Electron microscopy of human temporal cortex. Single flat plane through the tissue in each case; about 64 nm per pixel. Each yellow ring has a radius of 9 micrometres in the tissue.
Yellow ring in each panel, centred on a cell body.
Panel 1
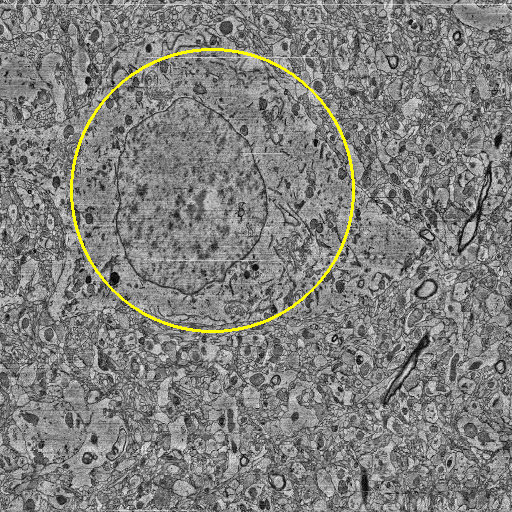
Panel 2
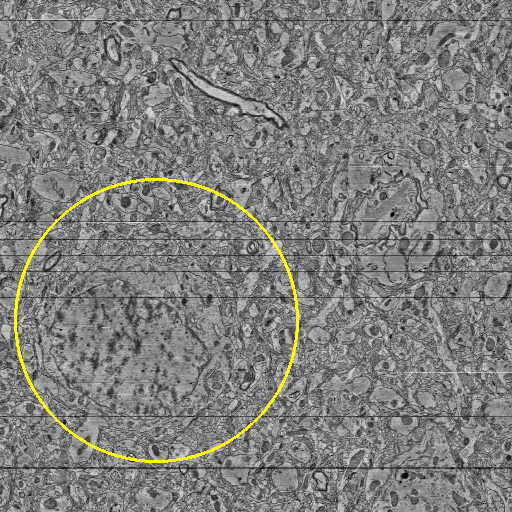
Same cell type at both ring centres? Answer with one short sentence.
No, the two cells are of two types.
